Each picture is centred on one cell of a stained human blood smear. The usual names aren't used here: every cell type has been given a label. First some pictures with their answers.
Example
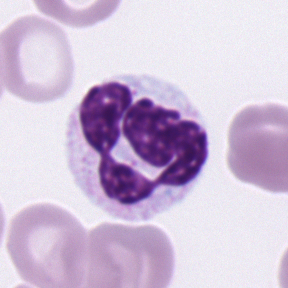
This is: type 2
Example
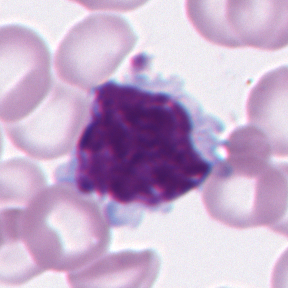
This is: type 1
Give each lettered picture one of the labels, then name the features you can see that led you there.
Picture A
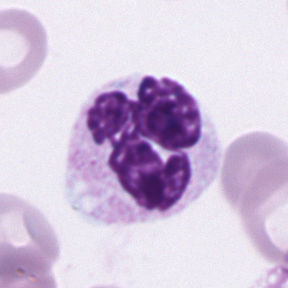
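type 2. Evidence: The nucleus is split into three or more separate lobes.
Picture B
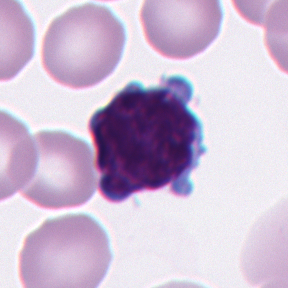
type 1. Evidence: The cytoplasm is scant and pale blue.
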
